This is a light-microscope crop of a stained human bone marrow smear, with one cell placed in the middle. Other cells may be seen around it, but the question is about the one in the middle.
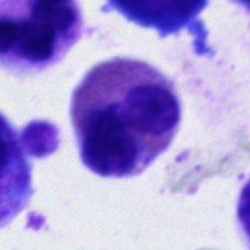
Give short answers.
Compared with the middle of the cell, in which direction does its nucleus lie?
bottom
